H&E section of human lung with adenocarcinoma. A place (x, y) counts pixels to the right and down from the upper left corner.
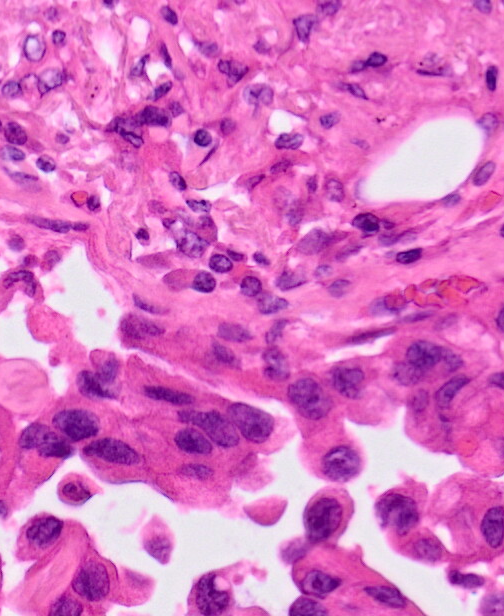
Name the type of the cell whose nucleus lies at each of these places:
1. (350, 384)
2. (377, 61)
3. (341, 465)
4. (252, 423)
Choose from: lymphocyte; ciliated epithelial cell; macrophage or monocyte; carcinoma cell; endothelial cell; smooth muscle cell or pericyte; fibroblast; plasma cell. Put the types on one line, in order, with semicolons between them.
carcinoma cell; plasma cell; carcinoma cell; carcinoma cell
